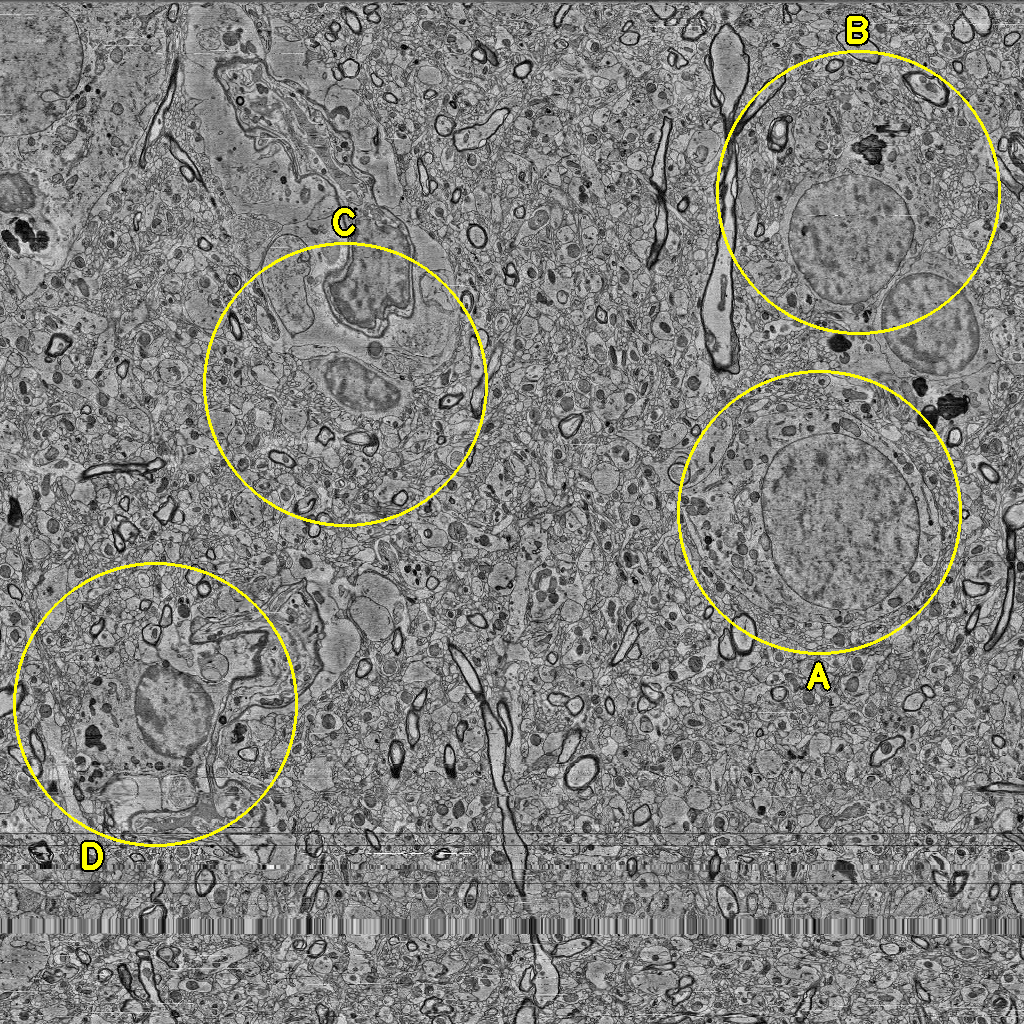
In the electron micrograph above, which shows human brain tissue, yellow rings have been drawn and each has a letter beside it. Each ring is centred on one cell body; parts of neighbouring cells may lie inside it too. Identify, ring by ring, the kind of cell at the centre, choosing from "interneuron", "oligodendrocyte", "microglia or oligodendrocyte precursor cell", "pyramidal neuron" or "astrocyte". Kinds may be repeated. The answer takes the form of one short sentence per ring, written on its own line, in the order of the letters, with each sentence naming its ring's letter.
Inside ring A, at its centre, is an interneuron.
Inside ring B, at its centre, is an oligodendrocyte.
Inside ring C, at its centre, is an oligodendrocyte.
Inside ring D, at its centre, is an oligodendrocyte.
